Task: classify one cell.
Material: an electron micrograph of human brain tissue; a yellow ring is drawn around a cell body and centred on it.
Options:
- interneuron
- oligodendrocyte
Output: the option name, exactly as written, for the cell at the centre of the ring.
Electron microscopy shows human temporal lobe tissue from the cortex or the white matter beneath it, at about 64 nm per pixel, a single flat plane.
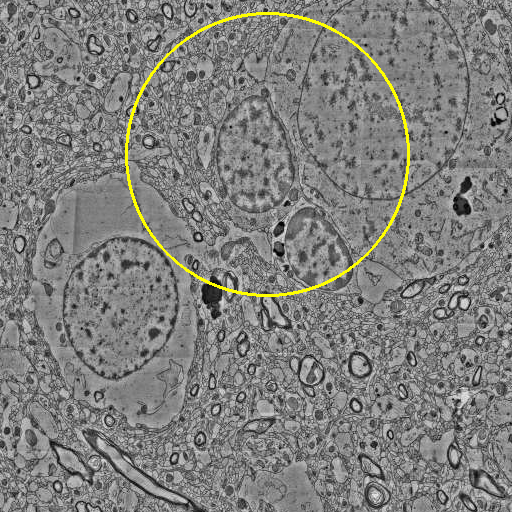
oligodendrocyte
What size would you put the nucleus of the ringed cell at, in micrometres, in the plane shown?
About 7 micrometres by about 5 micrometres in this plane.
